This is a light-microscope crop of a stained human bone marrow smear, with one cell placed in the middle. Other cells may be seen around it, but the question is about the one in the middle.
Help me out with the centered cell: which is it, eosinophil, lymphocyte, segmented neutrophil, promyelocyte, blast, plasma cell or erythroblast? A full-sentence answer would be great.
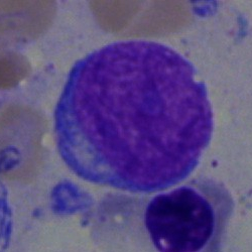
Answering briefly, the cell in the middle is a blast.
